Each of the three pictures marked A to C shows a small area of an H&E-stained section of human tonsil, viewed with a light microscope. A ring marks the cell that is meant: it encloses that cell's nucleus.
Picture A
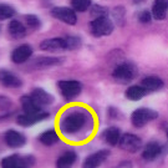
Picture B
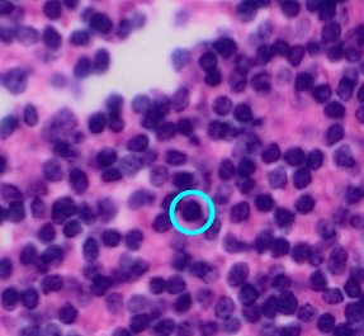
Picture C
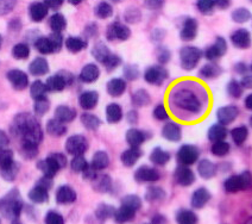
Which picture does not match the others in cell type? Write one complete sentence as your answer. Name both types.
Unlike the rest, which show plasma cells, picture B shows a small lymphocyte.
